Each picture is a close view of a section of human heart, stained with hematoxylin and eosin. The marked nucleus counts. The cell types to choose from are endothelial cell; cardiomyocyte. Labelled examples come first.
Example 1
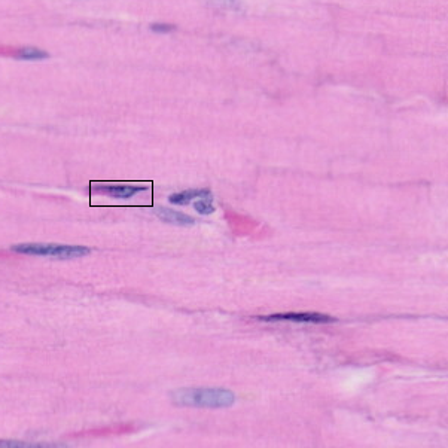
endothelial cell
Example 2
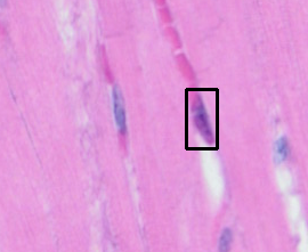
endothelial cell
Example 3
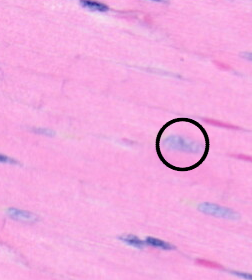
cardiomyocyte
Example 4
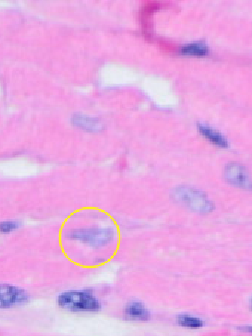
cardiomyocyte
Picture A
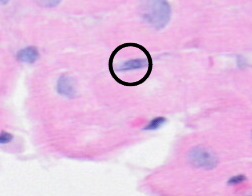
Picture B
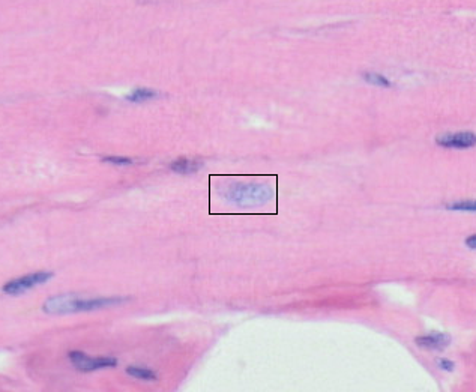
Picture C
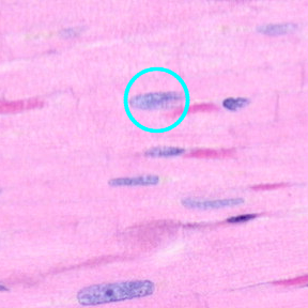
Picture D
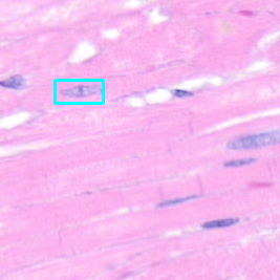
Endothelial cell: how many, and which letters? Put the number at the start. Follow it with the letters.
Count: 1 (A)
